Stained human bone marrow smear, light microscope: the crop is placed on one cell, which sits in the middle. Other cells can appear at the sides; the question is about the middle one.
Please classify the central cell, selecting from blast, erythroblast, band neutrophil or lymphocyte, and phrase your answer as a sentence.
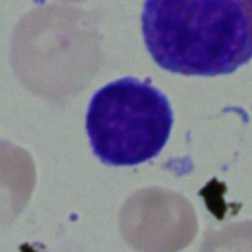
The centrally located cell in the crop is a lymphocyte.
